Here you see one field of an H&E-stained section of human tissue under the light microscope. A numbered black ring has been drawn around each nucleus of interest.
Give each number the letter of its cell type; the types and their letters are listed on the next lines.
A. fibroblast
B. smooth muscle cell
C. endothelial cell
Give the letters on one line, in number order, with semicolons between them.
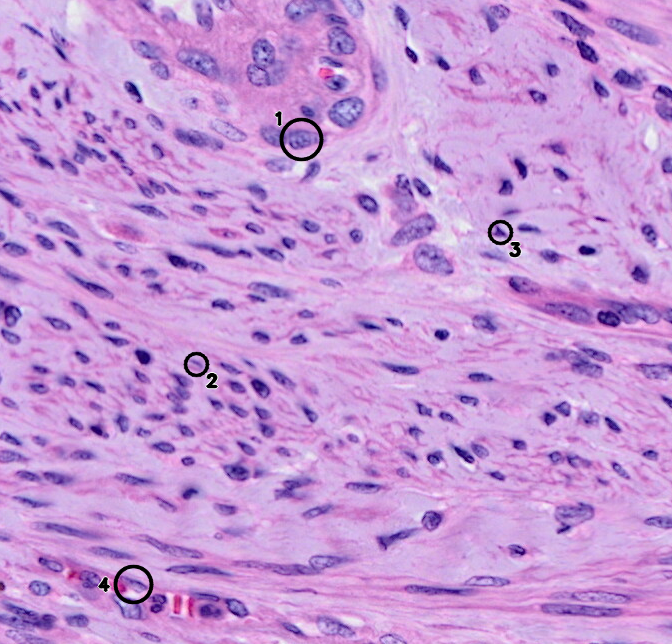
B; B; A; C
